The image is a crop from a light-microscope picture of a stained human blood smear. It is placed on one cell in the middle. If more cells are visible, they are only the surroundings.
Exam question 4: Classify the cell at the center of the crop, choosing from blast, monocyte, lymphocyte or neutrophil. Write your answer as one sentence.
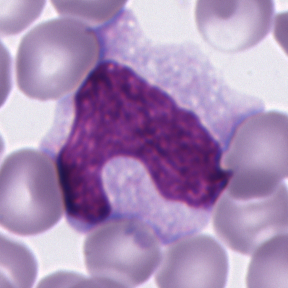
The crop's centre is taken up by a monocyte.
